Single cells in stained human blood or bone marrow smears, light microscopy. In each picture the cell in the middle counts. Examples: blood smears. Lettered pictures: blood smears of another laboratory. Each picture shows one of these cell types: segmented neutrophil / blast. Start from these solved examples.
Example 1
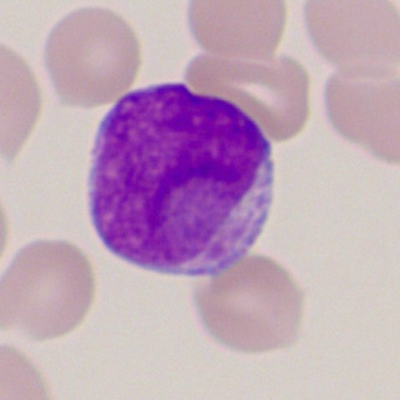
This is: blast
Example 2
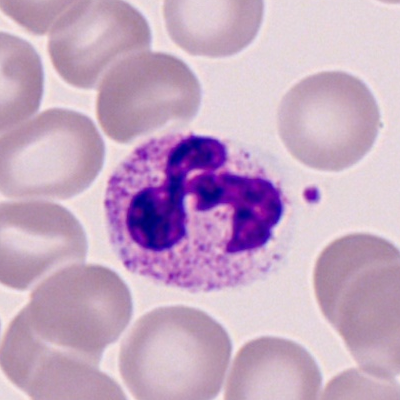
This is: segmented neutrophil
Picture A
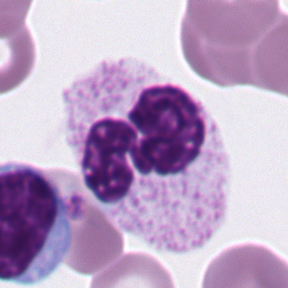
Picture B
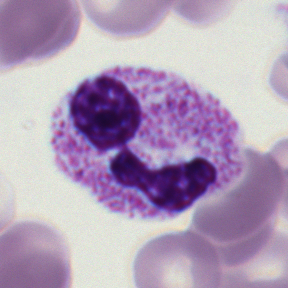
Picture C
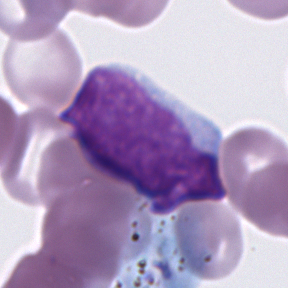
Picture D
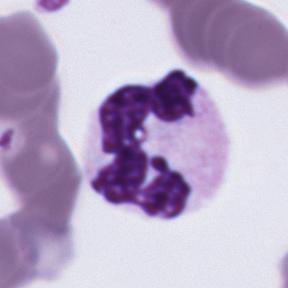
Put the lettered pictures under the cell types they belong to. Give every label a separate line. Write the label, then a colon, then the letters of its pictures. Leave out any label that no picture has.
segmented neutrophil: A, B, D
blast: C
